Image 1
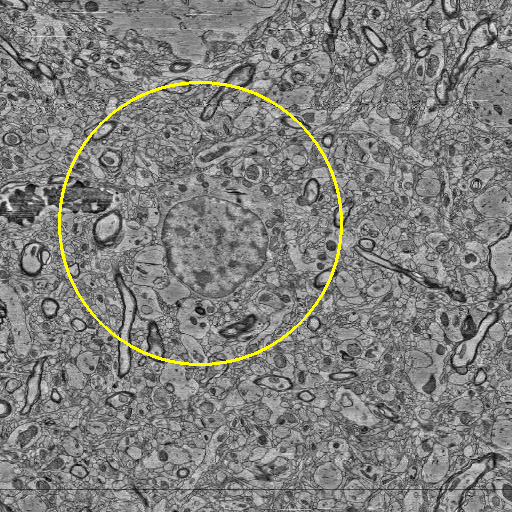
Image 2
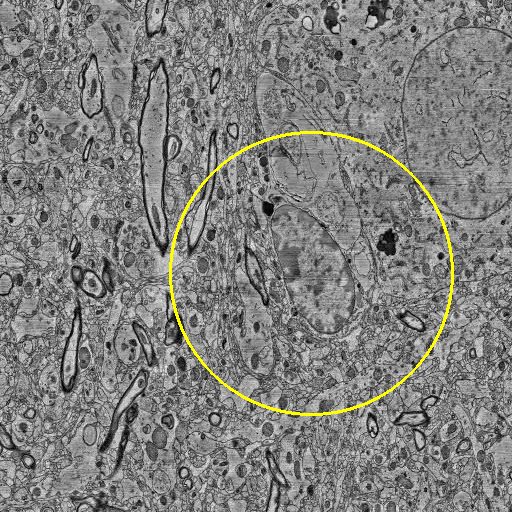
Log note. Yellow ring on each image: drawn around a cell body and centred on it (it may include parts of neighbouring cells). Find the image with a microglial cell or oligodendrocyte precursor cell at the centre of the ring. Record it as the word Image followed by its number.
Image 2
